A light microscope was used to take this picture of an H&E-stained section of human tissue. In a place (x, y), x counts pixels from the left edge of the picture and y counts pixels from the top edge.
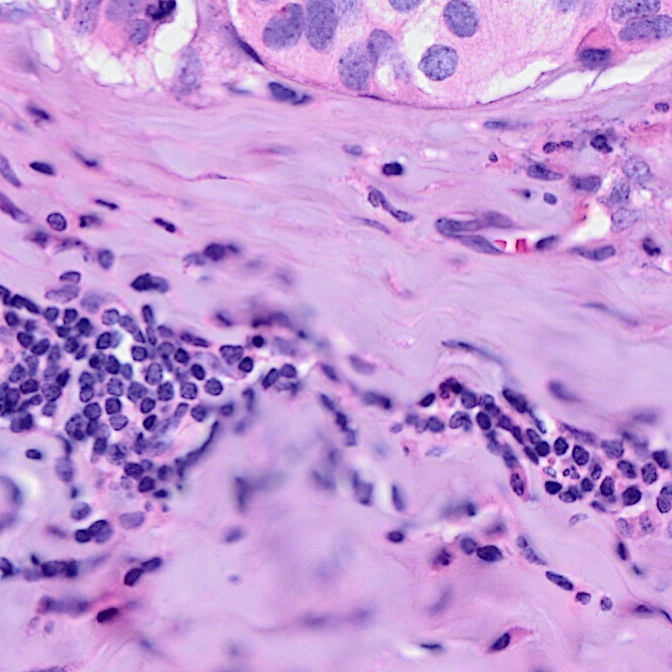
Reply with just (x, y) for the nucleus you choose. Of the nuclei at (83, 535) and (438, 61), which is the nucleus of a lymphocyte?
(83, 535)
